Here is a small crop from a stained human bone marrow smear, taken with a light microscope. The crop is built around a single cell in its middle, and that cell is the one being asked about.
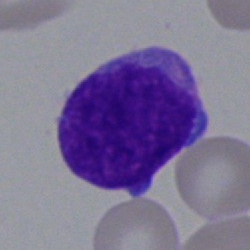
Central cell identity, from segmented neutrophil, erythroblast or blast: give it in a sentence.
The centrally positioned cell in the crop represents a blast.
